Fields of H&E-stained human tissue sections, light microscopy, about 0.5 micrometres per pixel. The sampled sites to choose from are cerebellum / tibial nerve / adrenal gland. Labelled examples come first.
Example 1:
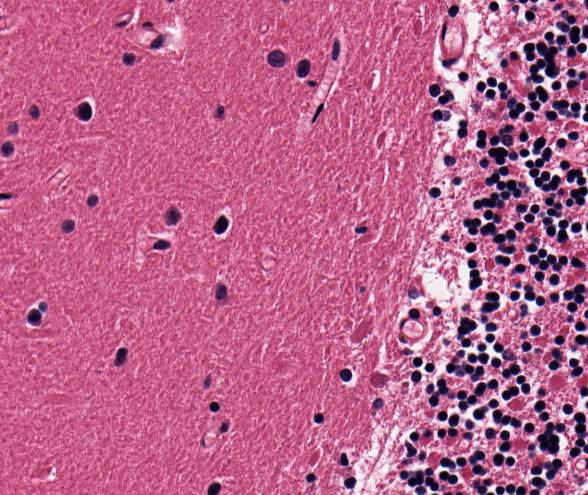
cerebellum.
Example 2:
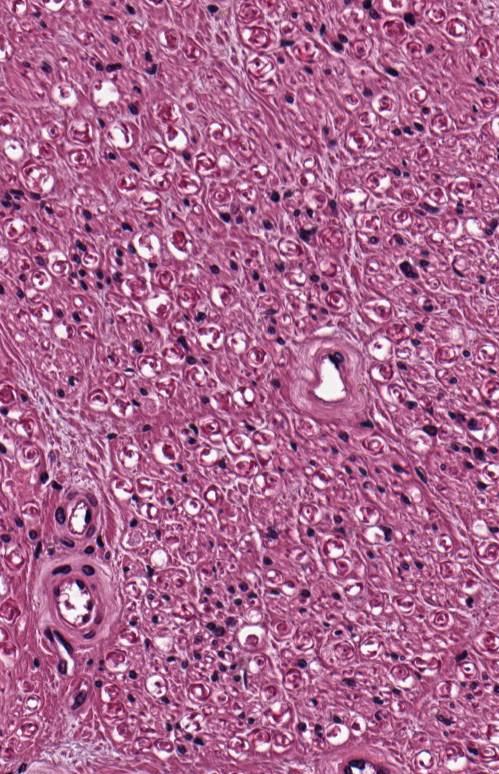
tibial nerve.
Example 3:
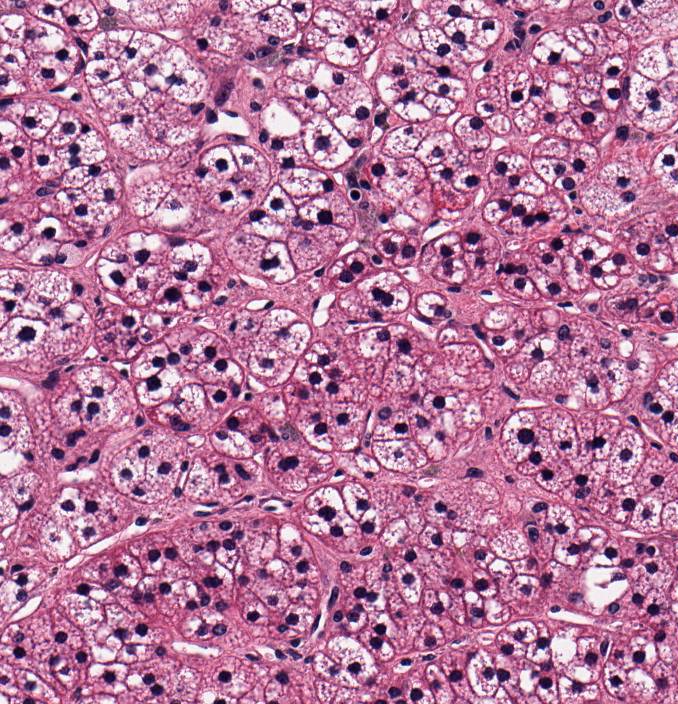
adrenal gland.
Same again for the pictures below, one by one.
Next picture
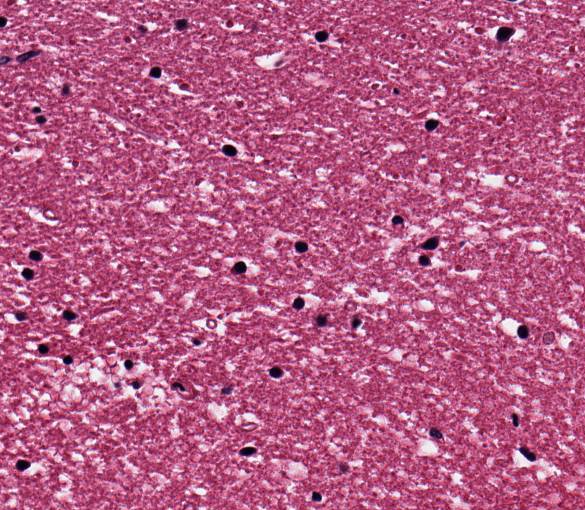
cerebellum.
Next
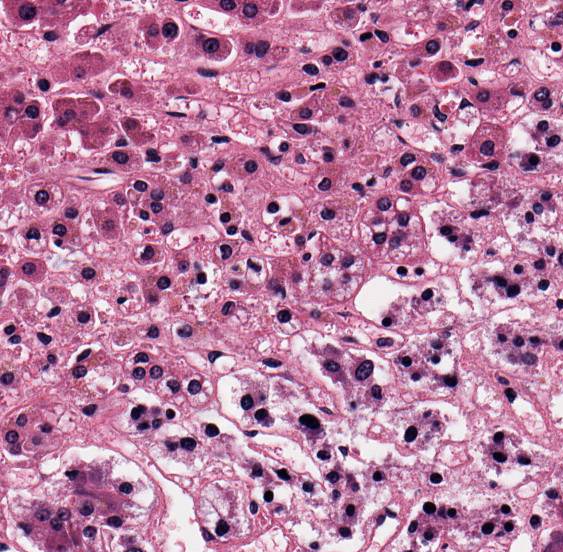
adrenal gland.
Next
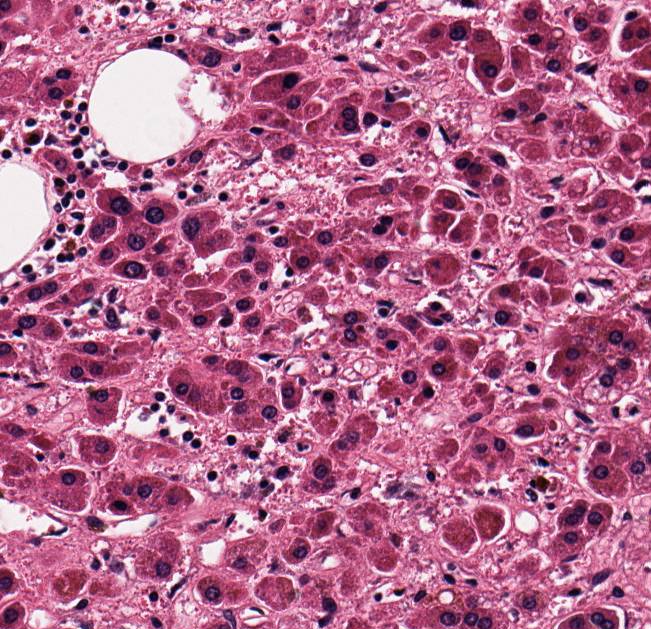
adrenal gland.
